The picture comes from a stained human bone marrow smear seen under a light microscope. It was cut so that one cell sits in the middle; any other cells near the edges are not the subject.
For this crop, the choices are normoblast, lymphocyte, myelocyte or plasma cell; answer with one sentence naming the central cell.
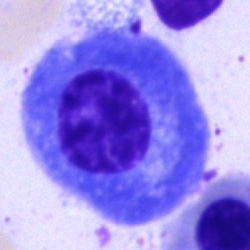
The central element of this crop is a cell, namely a plasma cell.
